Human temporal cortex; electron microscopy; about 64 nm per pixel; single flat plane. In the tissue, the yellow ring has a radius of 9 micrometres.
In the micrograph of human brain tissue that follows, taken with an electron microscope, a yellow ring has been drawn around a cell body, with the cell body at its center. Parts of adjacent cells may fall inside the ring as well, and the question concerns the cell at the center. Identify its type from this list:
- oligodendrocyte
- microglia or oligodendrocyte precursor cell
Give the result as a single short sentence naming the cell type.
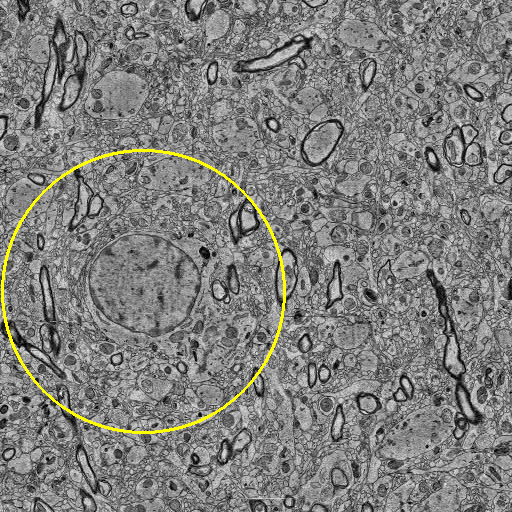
The ring is centered on a microglial cell or oligodendrocyte precursor cell.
